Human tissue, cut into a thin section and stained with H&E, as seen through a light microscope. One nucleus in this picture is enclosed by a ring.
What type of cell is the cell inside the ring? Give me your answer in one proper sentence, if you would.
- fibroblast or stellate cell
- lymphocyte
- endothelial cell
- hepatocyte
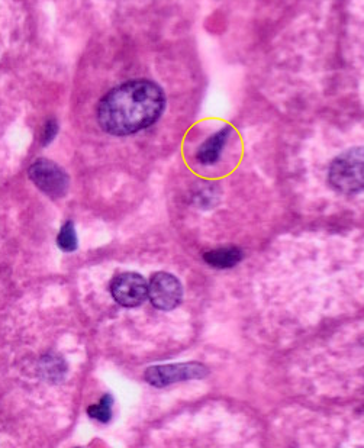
Cytologically, the cell inside the ring is to be regarded as a fibroblast or stellate cell.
